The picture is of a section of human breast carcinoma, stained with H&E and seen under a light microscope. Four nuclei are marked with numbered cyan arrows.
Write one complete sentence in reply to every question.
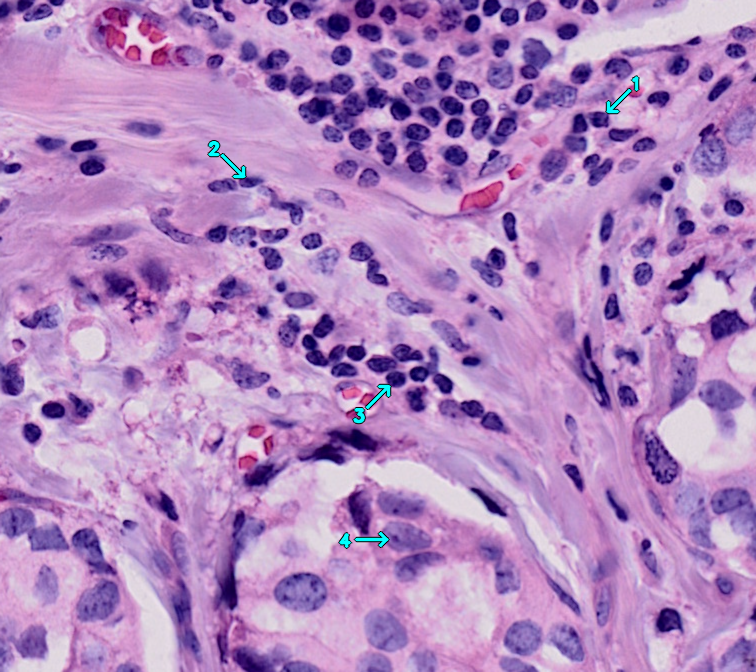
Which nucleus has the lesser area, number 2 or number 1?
It is nucleus 2; nucleus 1 has about 1.5 times its area.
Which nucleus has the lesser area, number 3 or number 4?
Nucleus 3 covers less area, with nucleus 4 about 2.5 times as large.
